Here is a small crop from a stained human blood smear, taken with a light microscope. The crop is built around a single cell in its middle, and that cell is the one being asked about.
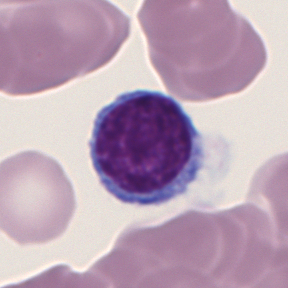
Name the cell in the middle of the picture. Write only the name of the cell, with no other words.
lymphocyte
